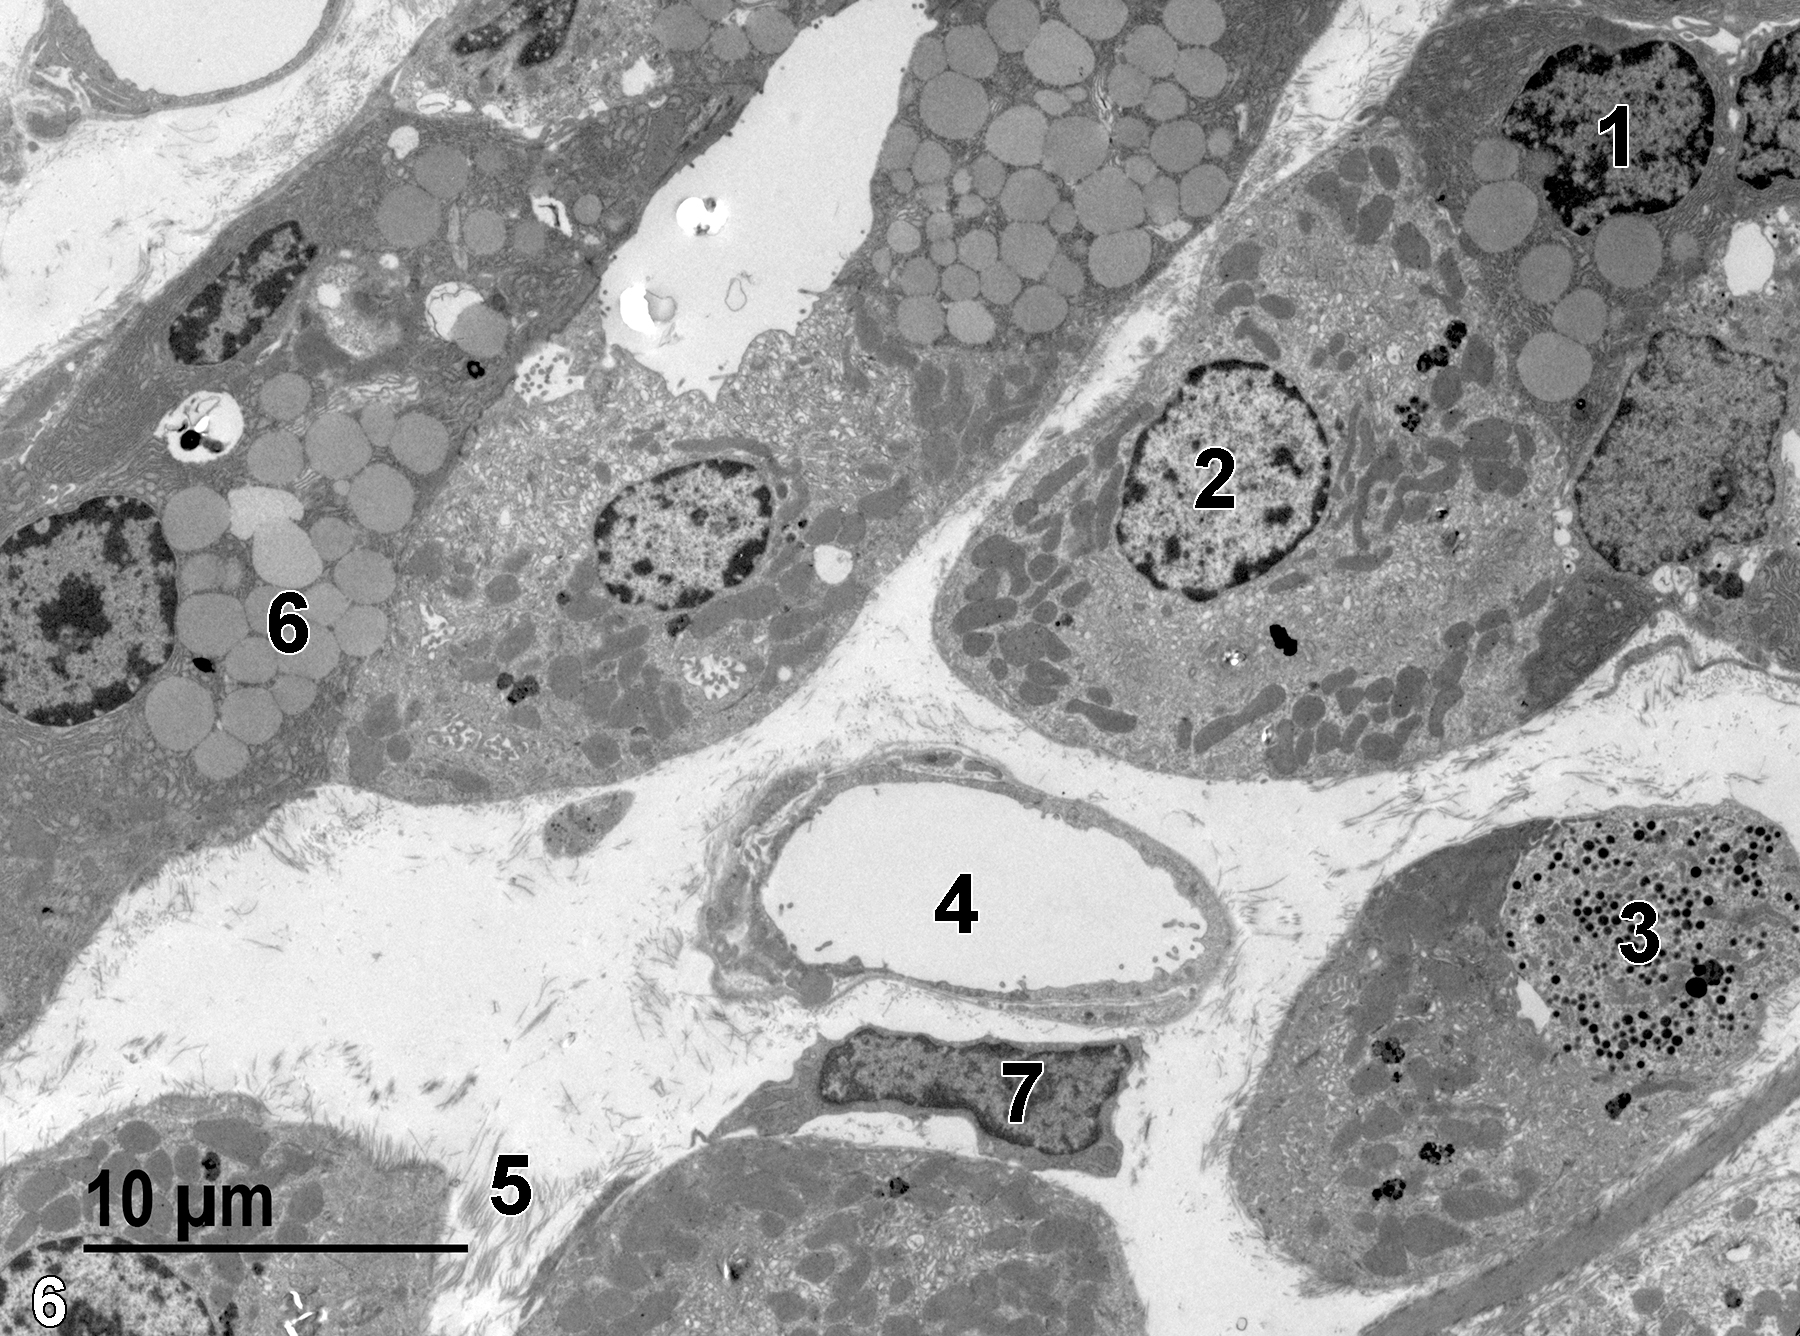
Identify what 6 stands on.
At 6: zymogen granules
